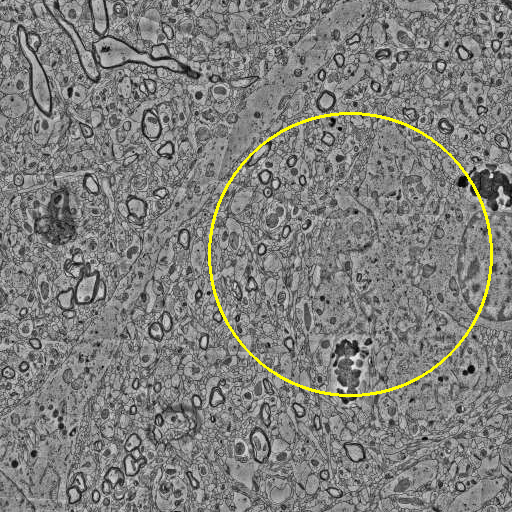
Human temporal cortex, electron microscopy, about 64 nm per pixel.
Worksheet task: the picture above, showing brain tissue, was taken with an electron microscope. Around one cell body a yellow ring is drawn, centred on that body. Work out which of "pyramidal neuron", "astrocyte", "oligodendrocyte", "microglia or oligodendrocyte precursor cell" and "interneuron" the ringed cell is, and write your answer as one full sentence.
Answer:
It is an oligodendrocyte whose cell body lies at the centre of the yellow ring.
